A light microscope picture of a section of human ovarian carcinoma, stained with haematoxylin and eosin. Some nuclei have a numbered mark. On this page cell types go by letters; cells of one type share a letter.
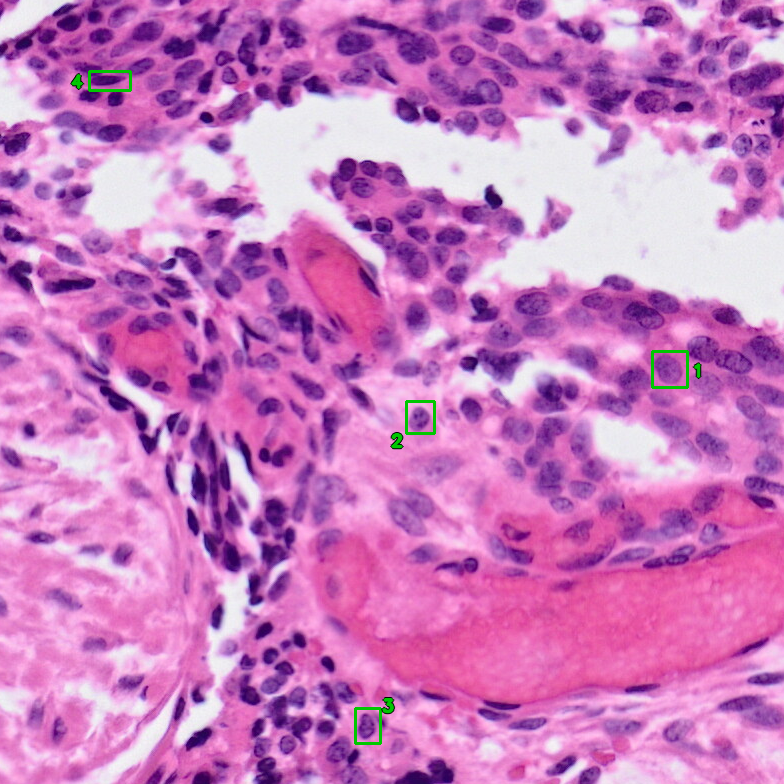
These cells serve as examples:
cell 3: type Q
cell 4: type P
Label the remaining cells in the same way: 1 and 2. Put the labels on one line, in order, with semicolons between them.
type P; type Q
